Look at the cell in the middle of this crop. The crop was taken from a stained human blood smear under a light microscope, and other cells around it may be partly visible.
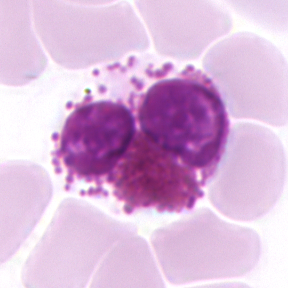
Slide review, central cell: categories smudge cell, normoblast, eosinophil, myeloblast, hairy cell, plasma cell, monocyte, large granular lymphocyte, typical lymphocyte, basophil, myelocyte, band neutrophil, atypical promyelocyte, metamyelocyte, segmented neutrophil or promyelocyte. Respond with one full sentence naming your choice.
The cell positioned in the middle of the field is an eosinophil.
